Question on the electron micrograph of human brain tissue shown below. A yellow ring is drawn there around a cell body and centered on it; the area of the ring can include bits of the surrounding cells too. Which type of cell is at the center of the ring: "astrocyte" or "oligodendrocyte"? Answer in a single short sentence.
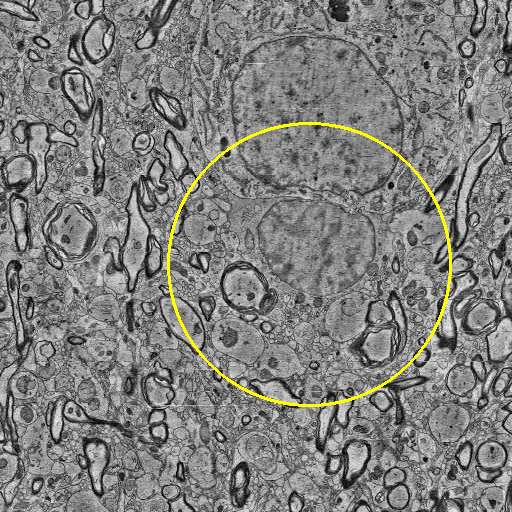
The ring is centered on an oligodendrocyte.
